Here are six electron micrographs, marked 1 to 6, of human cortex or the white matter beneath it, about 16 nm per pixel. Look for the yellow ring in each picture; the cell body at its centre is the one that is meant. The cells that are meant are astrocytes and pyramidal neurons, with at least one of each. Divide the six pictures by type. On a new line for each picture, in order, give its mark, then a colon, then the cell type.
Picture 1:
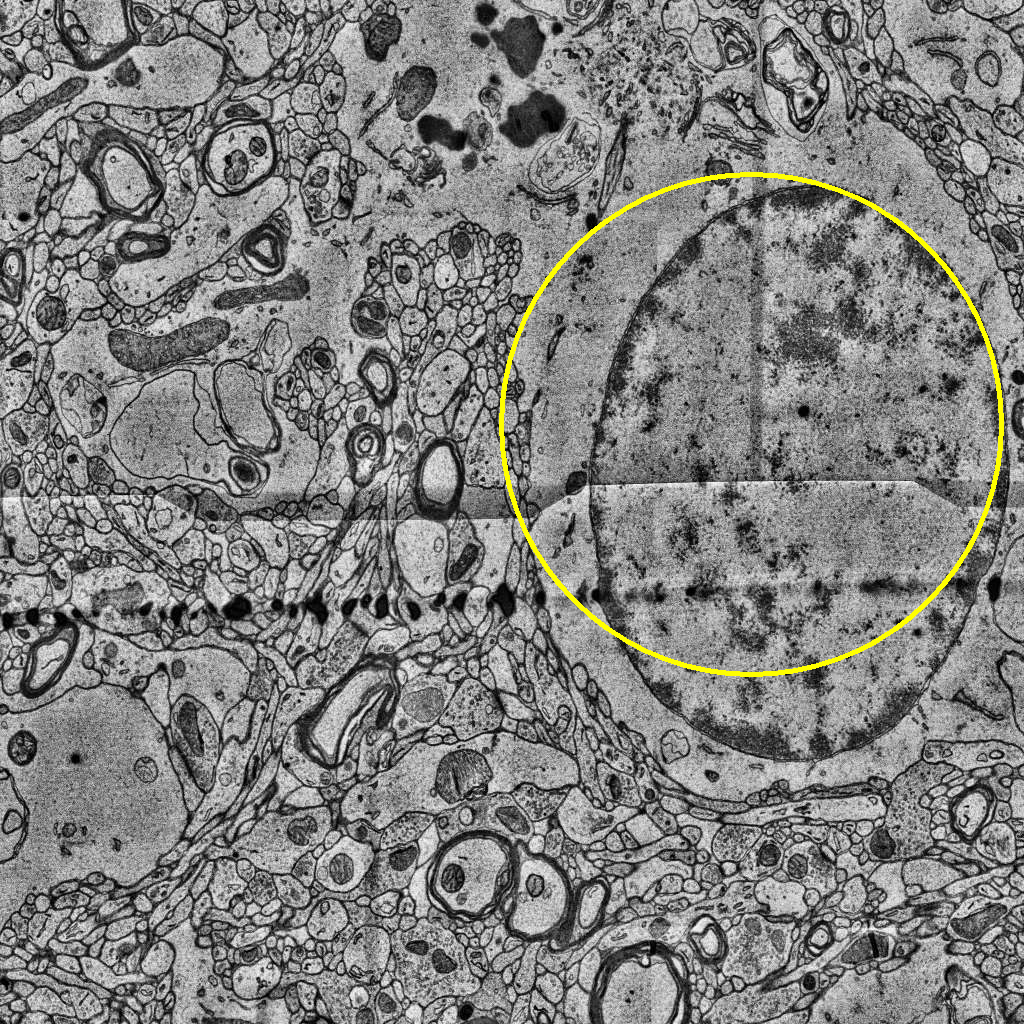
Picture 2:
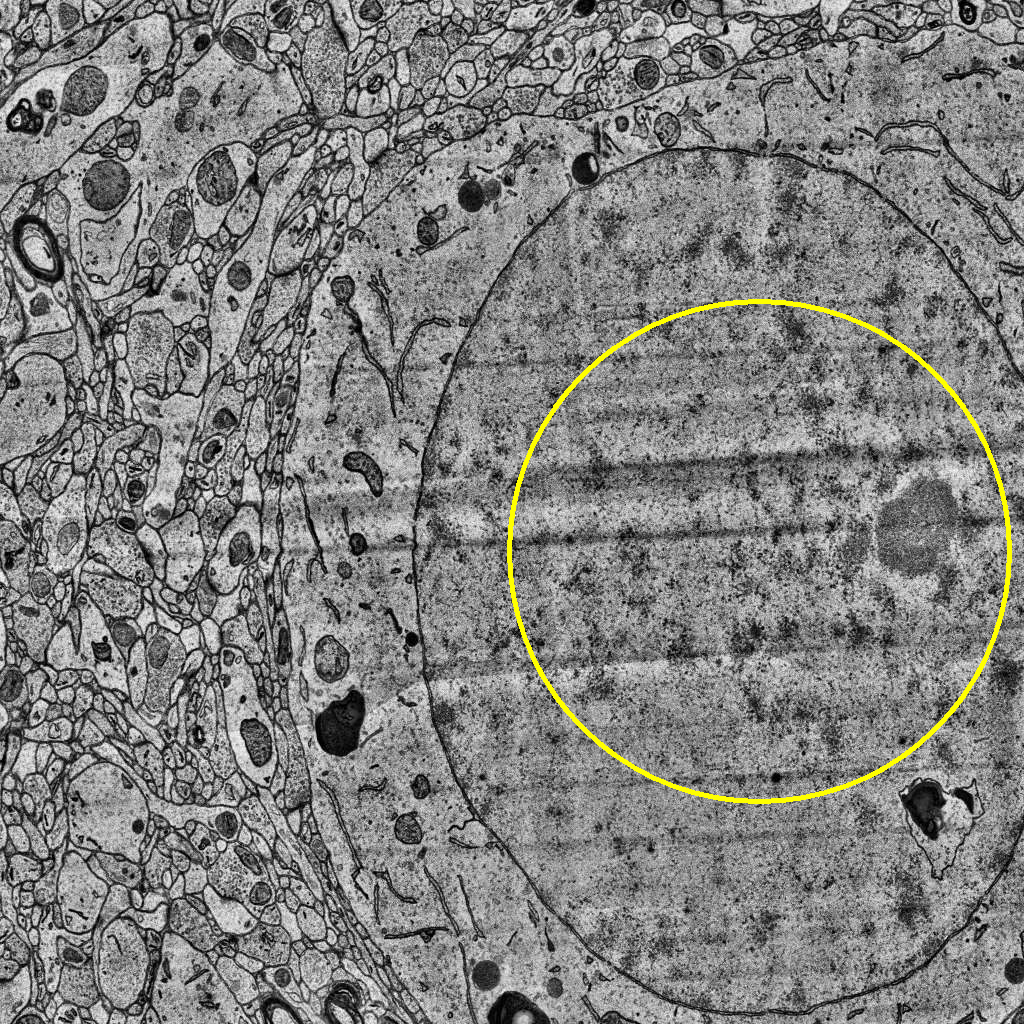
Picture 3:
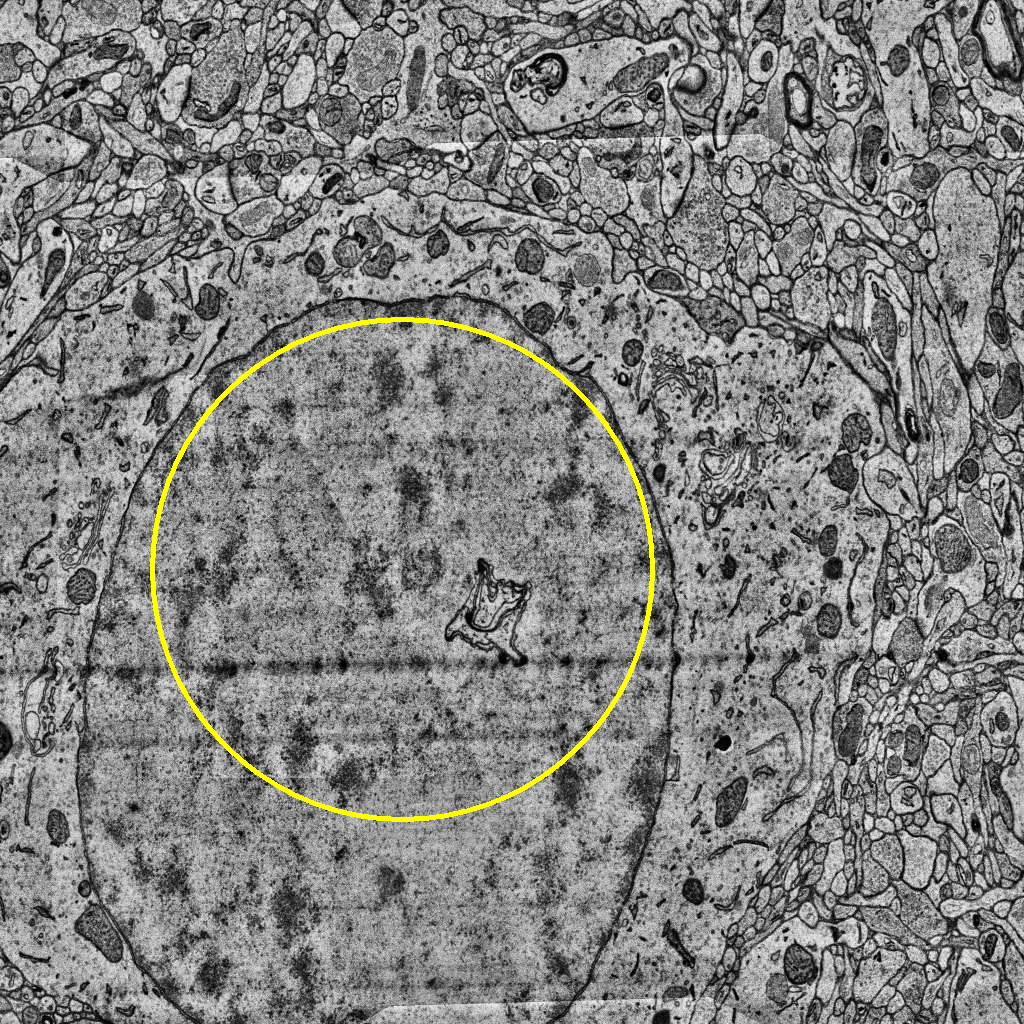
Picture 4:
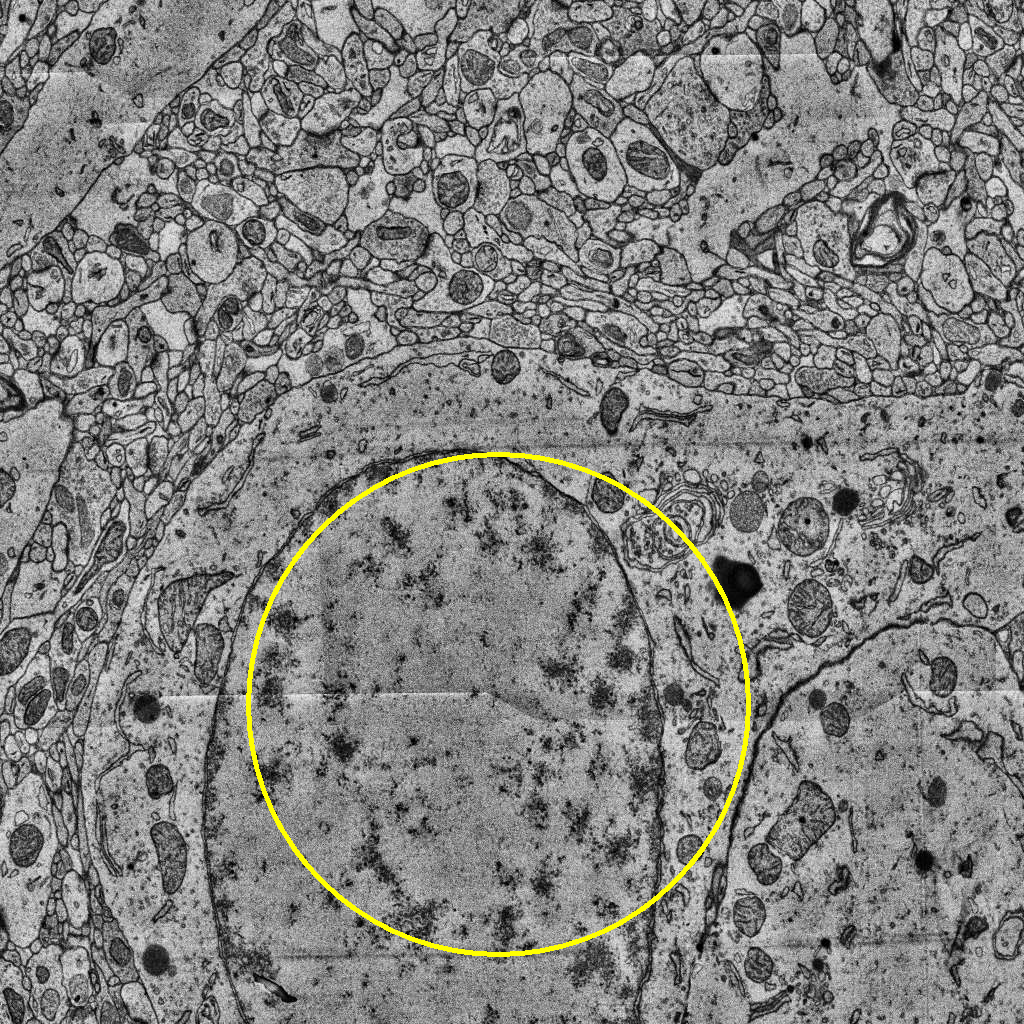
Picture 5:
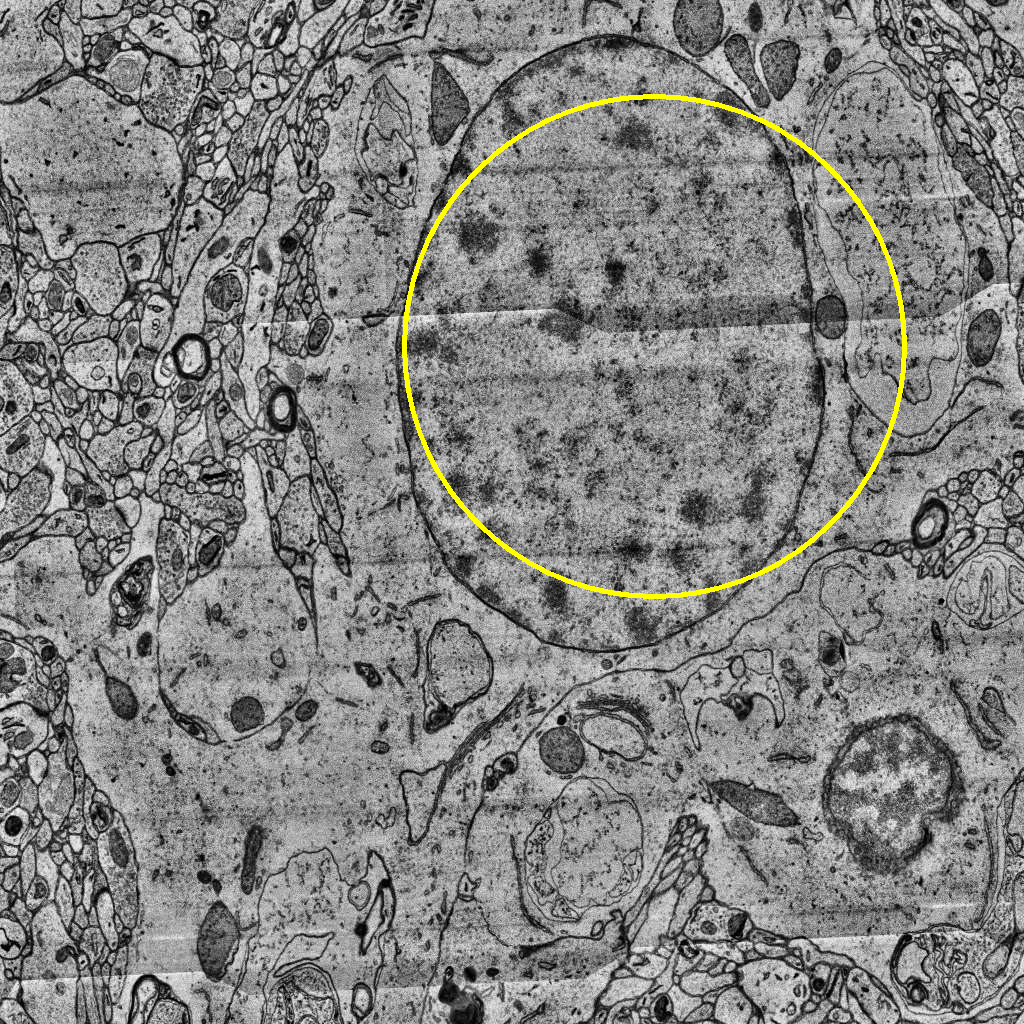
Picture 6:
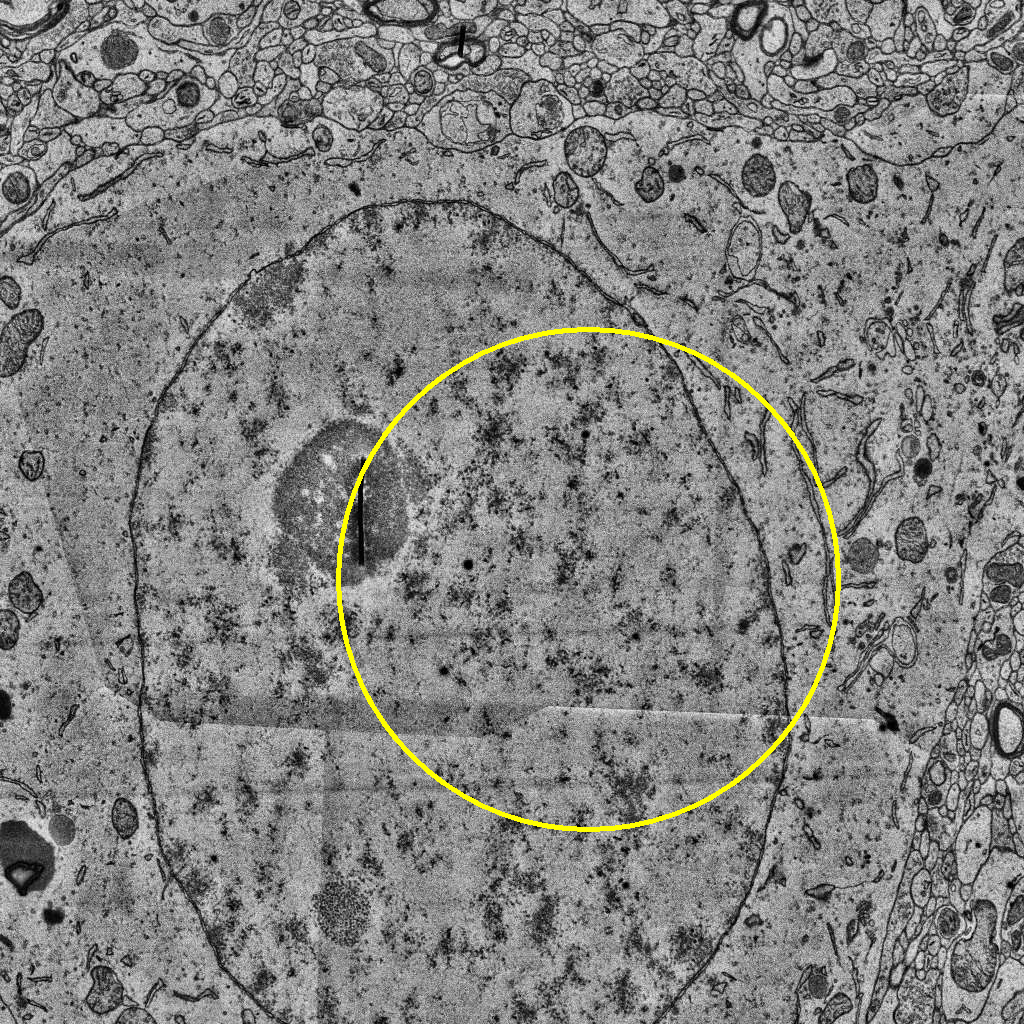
1: astrocyte
2: pyramidal neuron
3: pyramidal neuron
4: pyramidal neuron
5: astrocyte
6: pyramidal neuron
